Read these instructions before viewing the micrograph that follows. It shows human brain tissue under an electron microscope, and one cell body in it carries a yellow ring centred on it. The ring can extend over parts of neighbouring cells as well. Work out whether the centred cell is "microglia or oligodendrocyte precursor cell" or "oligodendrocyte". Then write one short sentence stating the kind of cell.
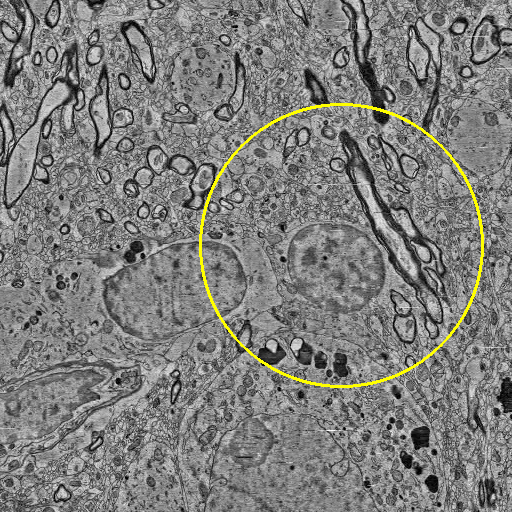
The ringed cell is an oligodendrocyte.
